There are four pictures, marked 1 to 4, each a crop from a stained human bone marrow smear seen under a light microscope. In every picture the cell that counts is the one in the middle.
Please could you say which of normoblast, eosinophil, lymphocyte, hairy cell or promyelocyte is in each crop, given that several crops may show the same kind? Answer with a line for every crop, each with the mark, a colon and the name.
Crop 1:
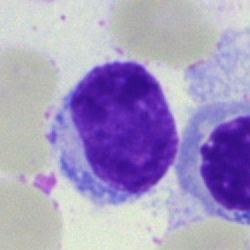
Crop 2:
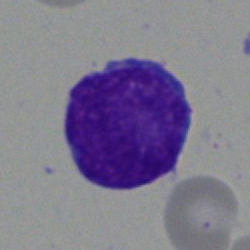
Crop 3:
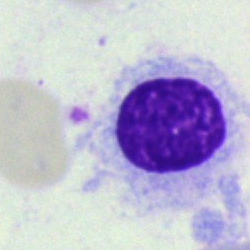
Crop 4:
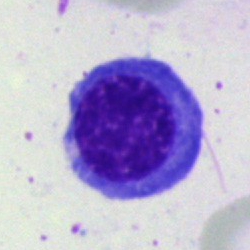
1: hairy cell
2: lymphocyte
3: hairy cell
4: normoblast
